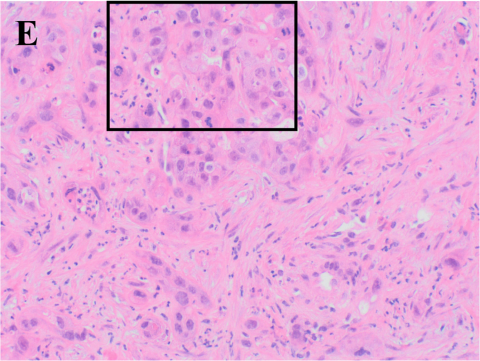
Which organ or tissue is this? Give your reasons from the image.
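Desmoplastic stroma. Pink fibrous tissue with spindle-shaped nuclei surrounds the groups of tumour cells. Nests and cords of large atypical cells lie scattered within this fibrous background.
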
